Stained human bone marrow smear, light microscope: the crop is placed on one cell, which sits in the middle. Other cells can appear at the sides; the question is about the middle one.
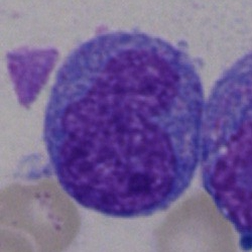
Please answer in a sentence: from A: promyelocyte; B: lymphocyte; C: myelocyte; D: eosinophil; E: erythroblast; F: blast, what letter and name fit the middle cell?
The best answer is option F, since the cell in the middle is a blast.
